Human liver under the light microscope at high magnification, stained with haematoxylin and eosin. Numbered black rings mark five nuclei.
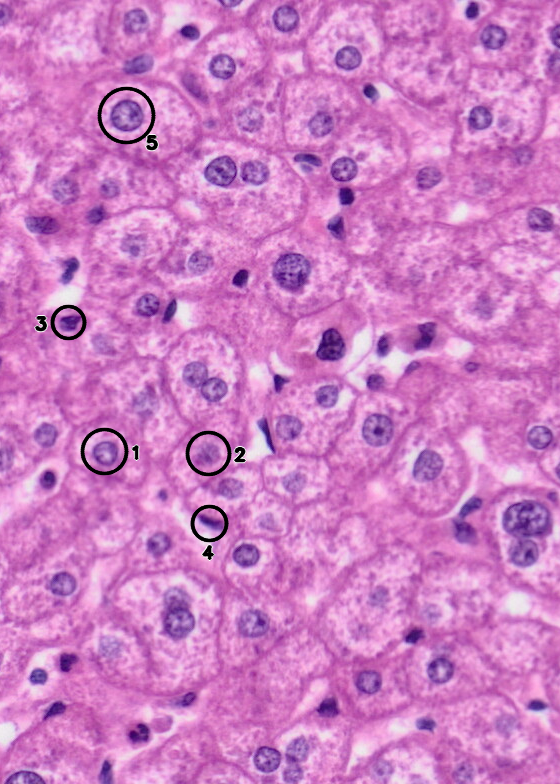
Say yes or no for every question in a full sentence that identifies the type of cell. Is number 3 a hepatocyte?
No, number 3 is not a hepatocyte; it is a fibroblast or stellate cell.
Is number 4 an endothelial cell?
Yes, so the cell at label 4 is an endothelial cell.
